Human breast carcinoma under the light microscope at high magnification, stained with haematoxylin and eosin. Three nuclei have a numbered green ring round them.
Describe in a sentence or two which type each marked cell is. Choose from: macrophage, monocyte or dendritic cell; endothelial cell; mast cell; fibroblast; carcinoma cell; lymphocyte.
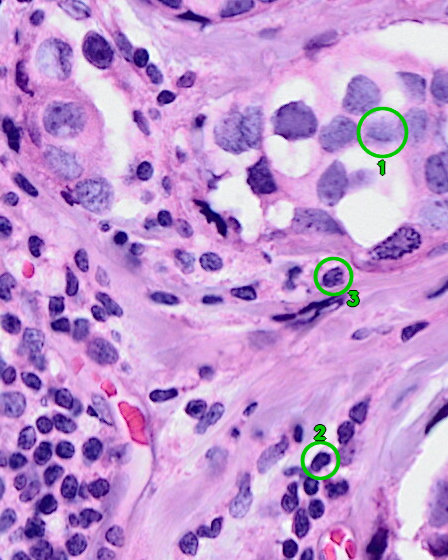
Cell 1 is a carcinoma cell. Cells 2 and 3 are lymphocytes.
